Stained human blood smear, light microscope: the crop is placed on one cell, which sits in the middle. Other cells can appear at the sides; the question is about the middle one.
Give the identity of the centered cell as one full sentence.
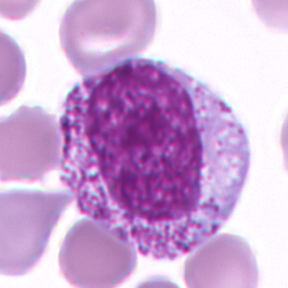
Looking at the middle of the crop, the cell there is a myelocyte.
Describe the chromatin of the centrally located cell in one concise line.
What stands out is chromatin that is coarsely clumped.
